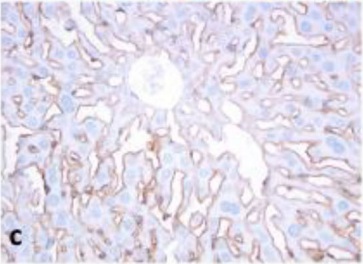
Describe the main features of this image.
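This section of liver shows hepatocyte cords radiating around central vessels. The hepatocytes have pale cytoplasm and round blue nuclei. No large brown-stained patches are present in the parenchyma.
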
